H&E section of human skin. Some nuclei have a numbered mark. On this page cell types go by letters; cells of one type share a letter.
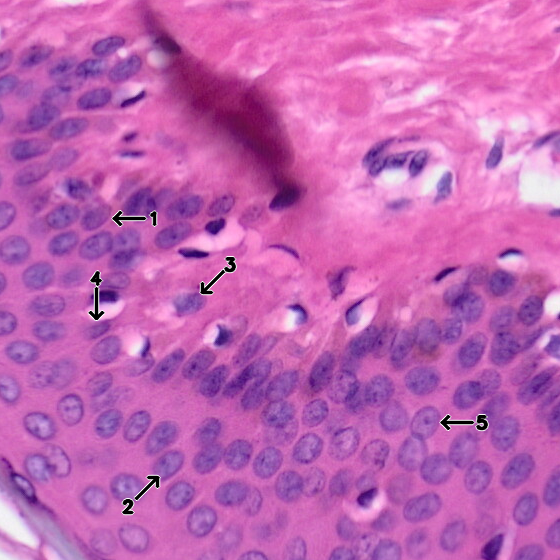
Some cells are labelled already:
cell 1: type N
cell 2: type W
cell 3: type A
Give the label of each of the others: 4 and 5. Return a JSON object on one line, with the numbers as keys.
{"4": "type N", "5": "type W"}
